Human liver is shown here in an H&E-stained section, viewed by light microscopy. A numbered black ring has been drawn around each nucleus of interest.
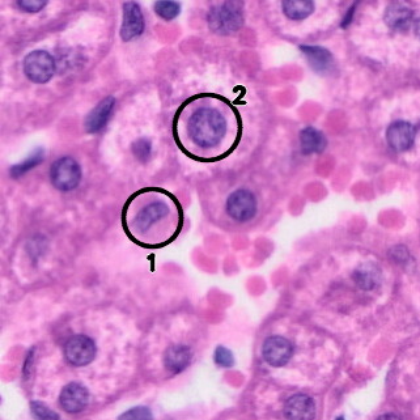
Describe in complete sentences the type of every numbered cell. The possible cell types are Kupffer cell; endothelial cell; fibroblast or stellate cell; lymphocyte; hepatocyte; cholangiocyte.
Cell 1 is a Kupffer cell and cell 2 is a hepatocyte.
